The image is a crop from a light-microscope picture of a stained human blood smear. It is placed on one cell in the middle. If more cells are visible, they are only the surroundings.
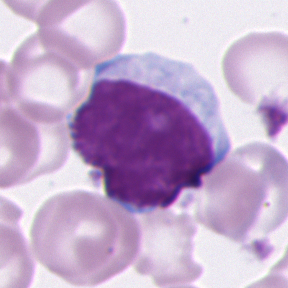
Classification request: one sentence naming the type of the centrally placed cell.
What sits at the centre of this crop is a typical lymphocyte.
